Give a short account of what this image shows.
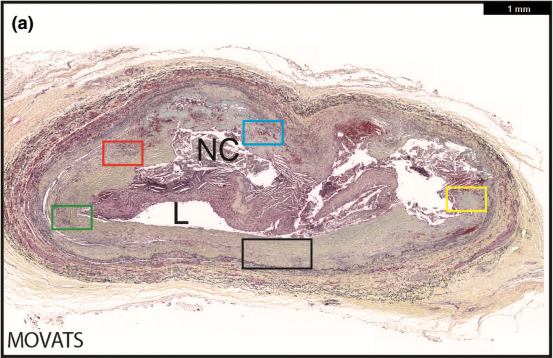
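This low-power cross-section shows a vessel whose wall is heavily thickened by a lesion that surrounds a narrow, irregular open channel. Within the thickened inner wall lies a large central area of fragmented, purplish-red material with torn, cleft-like spaces, unlike the orderly layers of a normal wall. Around it, the lesion is made of pale greenish to grey-green matrix. The outer rim of the section is formed by a band of yellow fibrous tissue with darker purple layers beneath it. Individual cells cannot be resolved at this magnification; only the layered architecture of the wall is visible.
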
